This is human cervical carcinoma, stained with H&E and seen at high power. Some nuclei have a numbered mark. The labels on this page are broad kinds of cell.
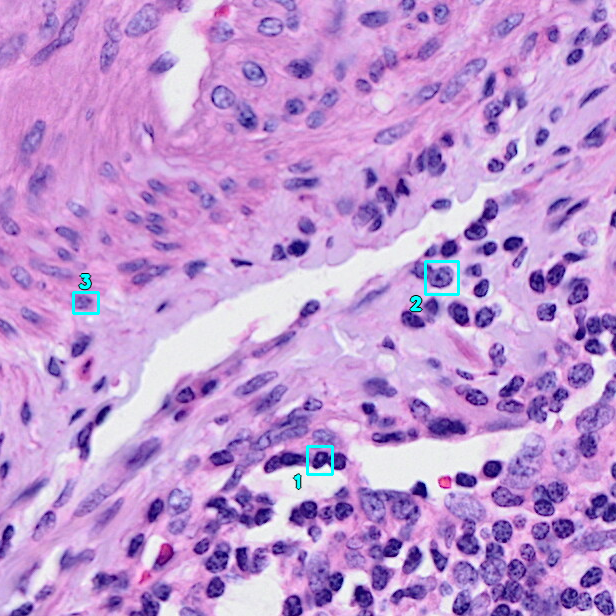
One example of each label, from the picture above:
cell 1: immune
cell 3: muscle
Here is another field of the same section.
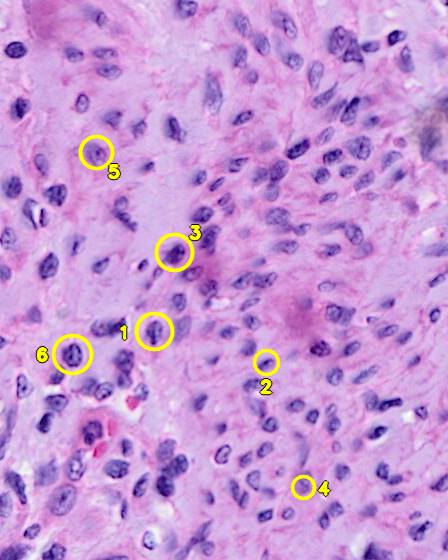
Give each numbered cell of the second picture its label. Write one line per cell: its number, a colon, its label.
1: immune
2: muscle
3: immune
4: muscle
5: muscle
6: immune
